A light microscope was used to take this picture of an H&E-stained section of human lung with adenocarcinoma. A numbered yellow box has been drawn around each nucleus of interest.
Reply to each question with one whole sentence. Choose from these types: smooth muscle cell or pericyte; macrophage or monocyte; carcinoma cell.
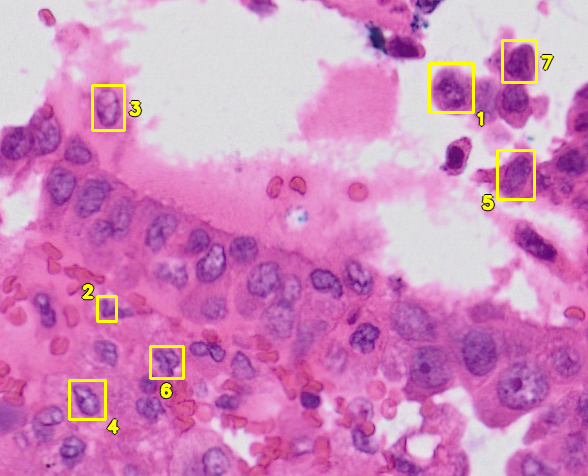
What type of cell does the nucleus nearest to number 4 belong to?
Number 4 lies closest to the nucleus of a macrophage or monocyte.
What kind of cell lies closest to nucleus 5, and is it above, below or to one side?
It is a carcinoma cell, whose nucleus lies to the right of nucleus 5.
